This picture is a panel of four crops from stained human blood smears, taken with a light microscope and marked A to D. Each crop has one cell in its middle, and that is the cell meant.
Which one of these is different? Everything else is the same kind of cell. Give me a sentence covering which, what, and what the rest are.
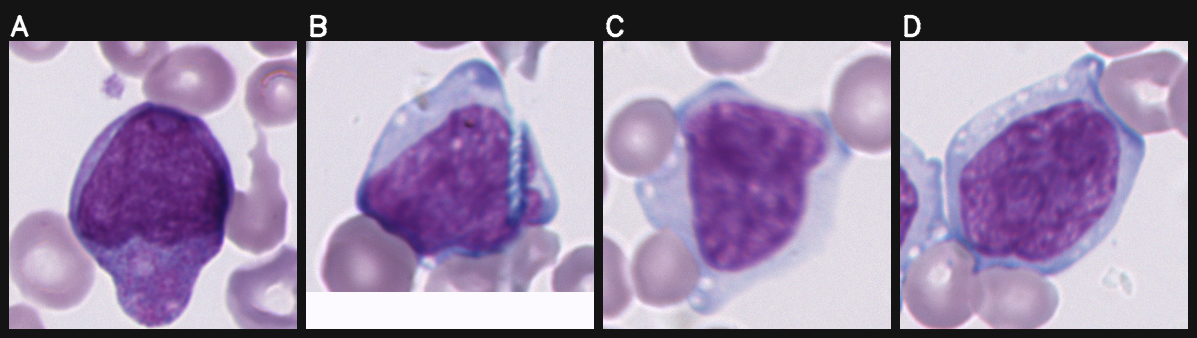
What sets crop A apart is that it is an atypical promyelocyte; the others are all myeloblasts.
